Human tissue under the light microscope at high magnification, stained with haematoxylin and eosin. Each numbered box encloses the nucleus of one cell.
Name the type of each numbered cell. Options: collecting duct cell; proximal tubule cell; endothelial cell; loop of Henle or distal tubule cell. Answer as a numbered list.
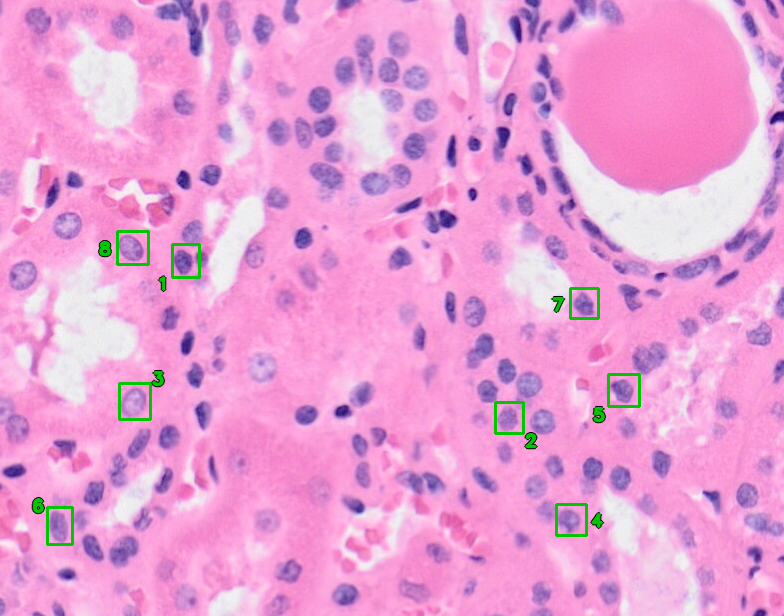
1. loop of Henle or distal tubule cell
2. loop of Henle or distal tubule cell
3. proximal tubule cell
4. loop of Henle or distal tubule cell
5. loop of Henle or distal tubule cell
6. collecting duct cell
7. loop of Henle or distal tubule cell
8. proximal tubule cell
